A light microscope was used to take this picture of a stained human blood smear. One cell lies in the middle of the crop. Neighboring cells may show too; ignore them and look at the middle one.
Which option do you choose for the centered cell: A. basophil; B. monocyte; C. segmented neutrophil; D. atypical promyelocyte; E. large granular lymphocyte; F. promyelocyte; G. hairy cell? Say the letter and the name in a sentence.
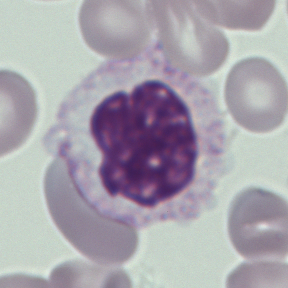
In the centre of the crop there is a segmented neutrophil, making option C correct.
